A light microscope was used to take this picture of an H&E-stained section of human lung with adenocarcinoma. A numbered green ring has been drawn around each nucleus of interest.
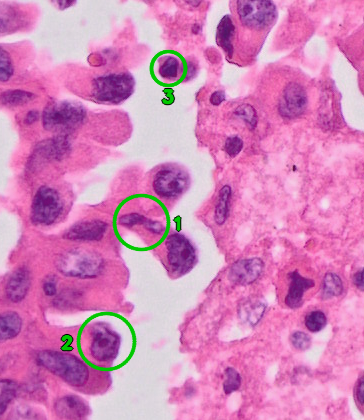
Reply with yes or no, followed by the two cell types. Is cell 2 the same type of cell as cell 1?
Yes, both are carcinoma cells.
